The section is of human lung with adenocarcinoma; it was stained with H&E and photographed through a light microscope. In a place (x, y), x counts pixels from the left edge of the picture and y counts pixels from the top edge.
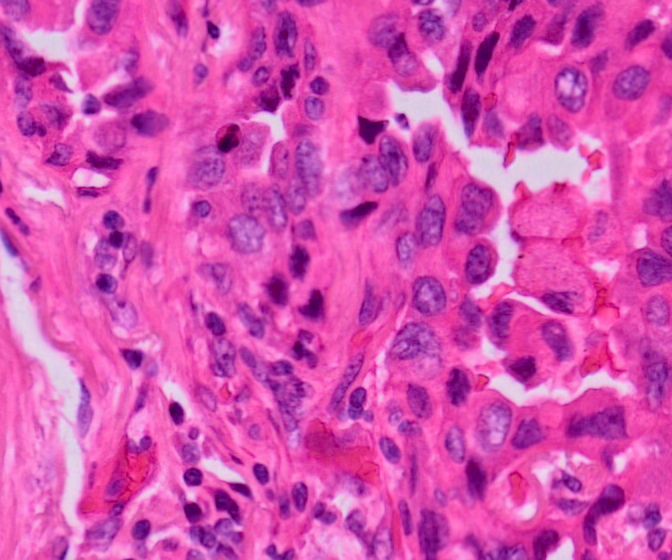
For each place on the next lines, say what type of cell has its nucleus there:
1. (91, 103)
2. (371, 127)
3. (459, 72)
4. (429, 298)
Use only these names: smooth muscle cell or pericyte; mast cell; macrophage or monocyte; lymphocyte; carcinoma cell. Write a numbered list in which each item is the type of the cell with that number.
1. lymphocyte
2. carcinoma cell
3. carcinoma cell
4. carcinoma cell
